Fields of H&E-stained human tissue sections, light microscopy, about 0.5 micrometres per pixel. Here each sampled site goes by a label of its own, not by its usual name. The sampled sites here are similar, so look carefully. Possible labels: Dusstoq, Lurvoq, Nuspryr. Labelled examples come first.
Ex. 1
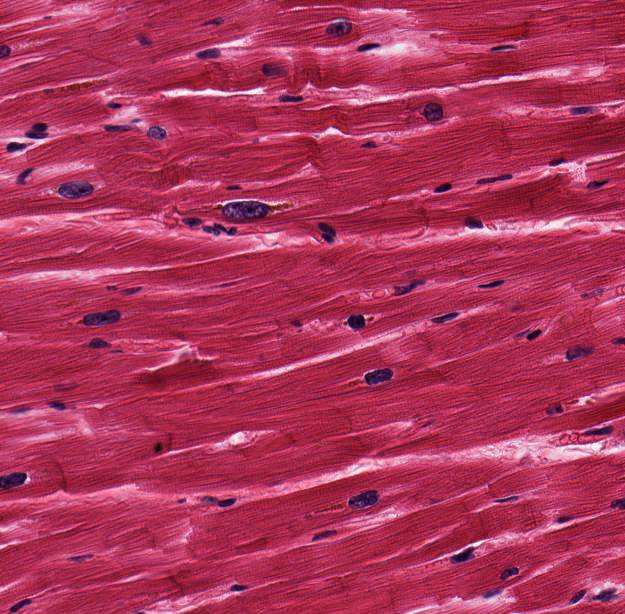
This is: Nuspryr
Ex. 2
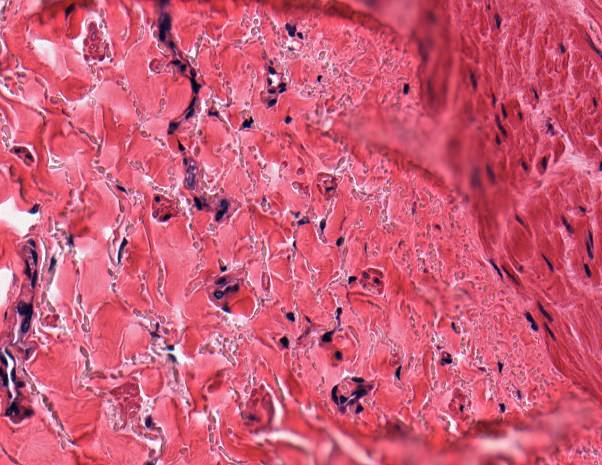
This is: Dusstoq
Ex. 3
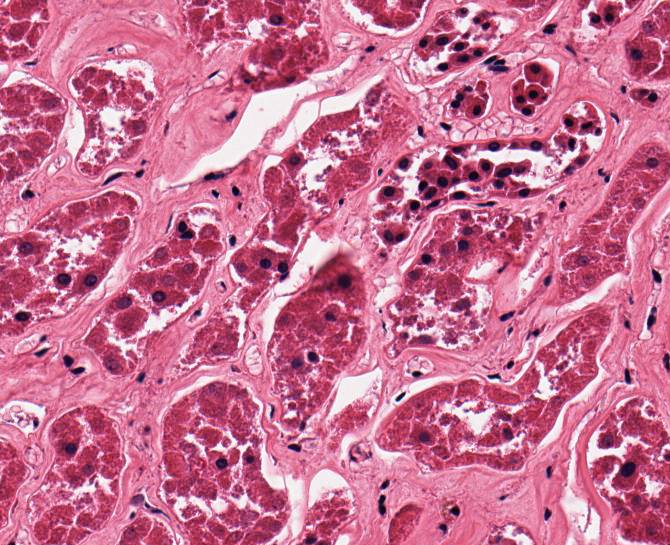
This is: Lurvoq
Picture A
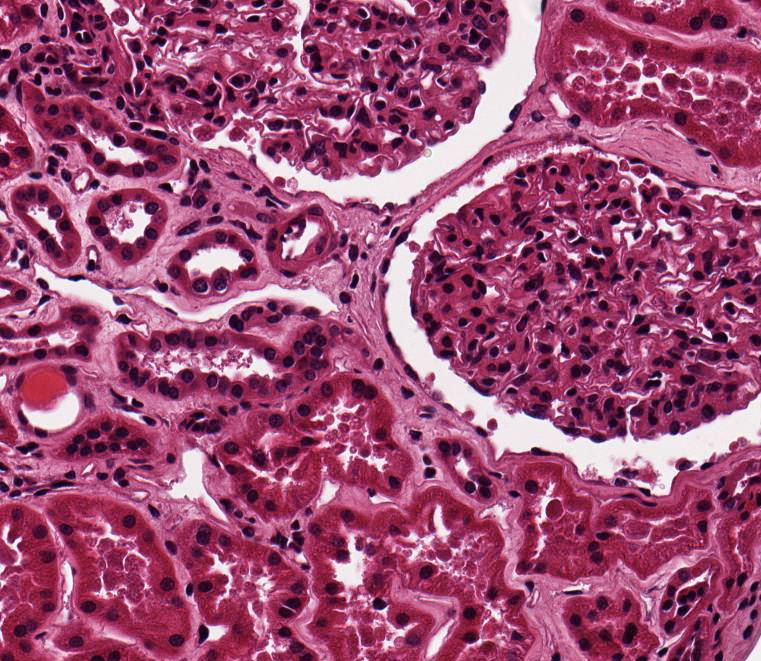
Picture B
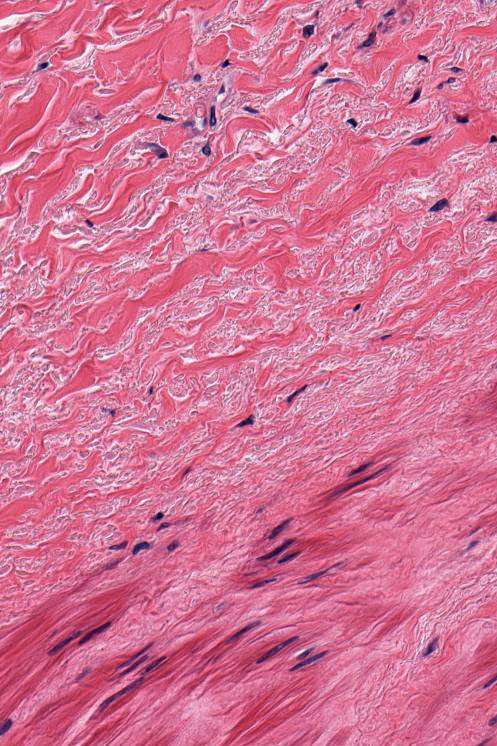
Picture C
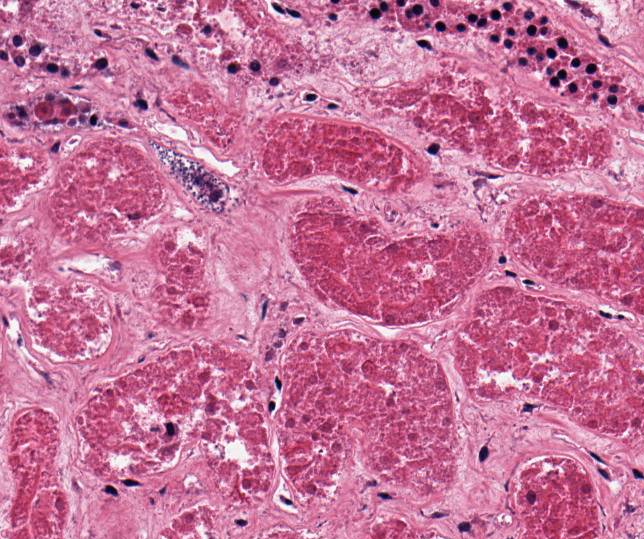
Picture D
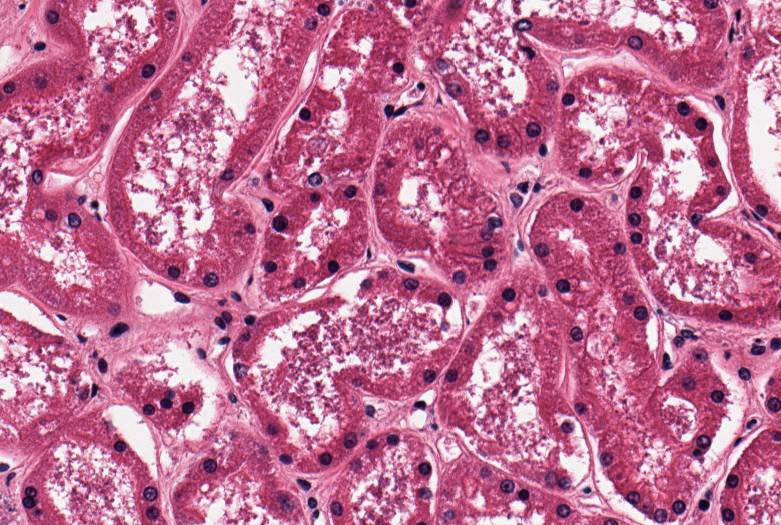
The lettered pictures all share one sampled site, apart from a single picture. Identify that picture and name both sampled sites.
Picture B: Dusstoq. All others: Lurvoq.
